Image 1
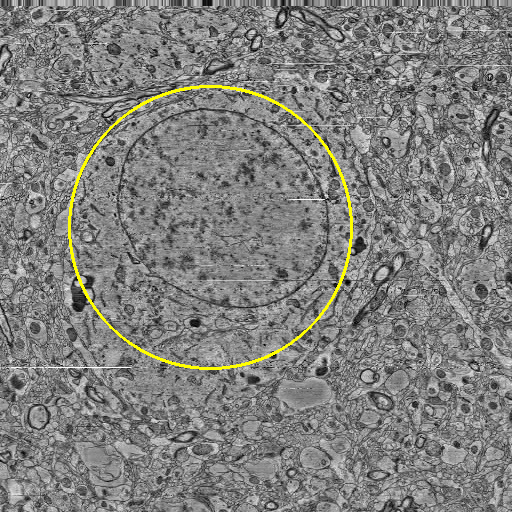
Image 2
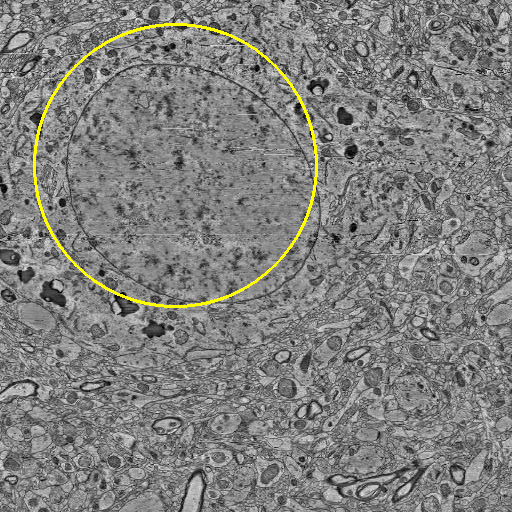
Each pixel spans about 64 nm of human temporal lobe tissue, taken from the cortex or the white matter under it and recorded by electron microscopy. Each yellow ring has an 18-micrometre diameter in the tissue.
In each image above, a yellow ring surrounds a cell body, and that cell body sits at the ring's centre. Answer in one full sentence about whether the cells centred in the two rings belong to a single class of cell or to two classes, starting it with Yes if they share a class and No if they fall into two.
Yes, the cells centred in the two yellow rings belong to a single class of cell.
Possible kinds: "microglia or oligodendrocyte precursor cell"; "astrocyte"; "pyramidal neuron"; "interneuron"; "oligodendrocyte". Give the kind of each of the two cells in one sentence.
Each cell at the centre of a ring is a pyramidal neuron.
